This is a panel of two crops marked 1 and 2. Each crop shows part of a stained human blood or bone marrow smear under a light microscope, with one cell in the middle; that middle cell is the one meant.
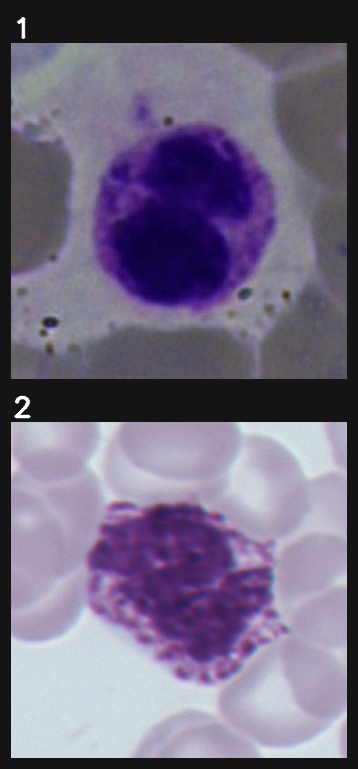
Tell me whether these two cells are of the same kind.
yes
